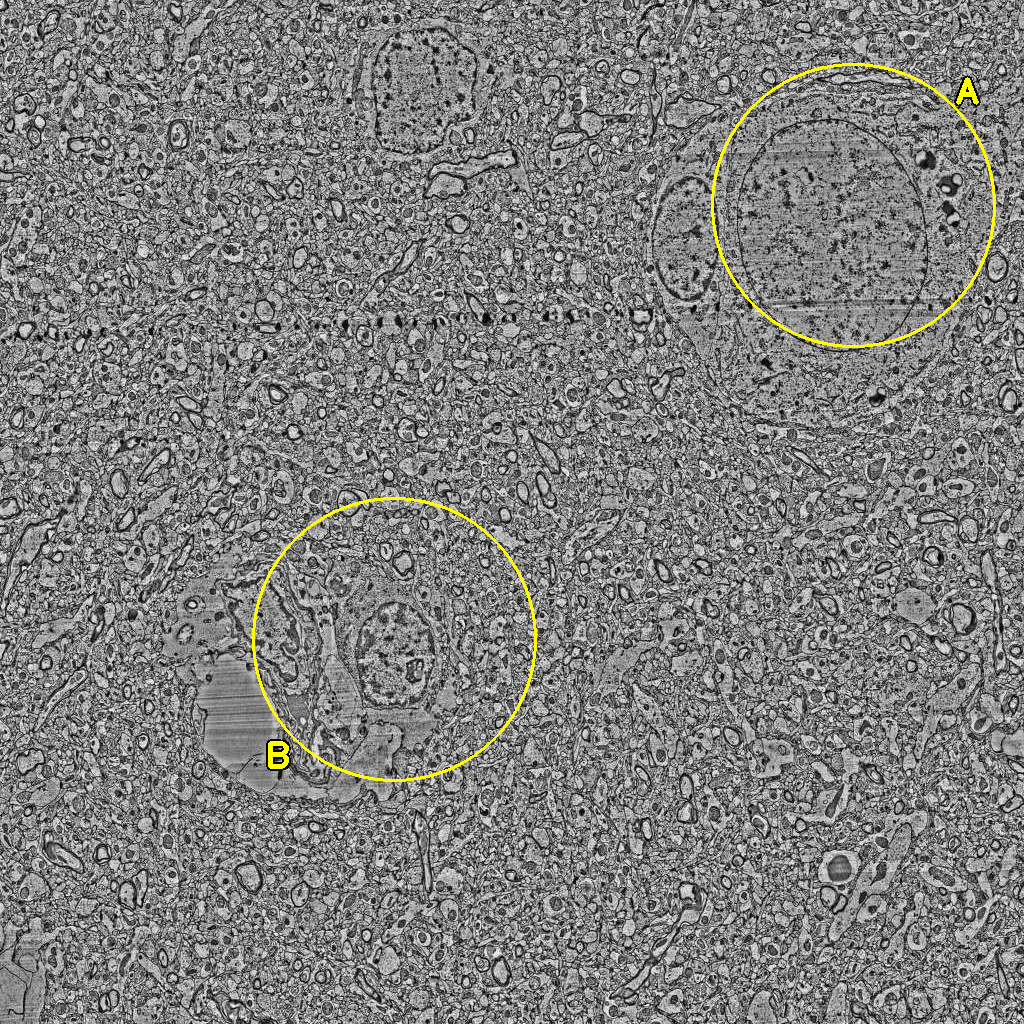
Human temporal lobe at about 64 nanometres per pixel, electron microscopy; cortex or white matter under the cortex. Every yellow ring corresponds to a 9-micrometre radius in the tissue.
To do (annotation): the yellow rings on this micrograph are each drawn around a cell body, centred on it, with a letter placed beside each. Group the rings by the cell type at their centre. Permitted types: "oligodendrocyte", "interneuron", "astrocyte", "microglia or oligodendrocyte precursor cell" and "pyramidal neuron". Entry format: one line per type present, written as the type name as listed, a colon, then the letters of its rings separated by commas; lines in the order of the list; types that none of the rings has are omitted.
oligodendrocyte: B
pyramidal neuron: A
